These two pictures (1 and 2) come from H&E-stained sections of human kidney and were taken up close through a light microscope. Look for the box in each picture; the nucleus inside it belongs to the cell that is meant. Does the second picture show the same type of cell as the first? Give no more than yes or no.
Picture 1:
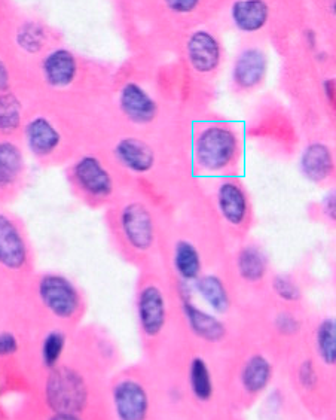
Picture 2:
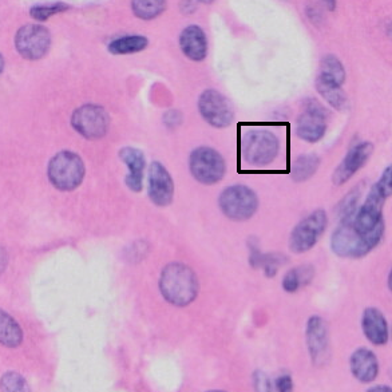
no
